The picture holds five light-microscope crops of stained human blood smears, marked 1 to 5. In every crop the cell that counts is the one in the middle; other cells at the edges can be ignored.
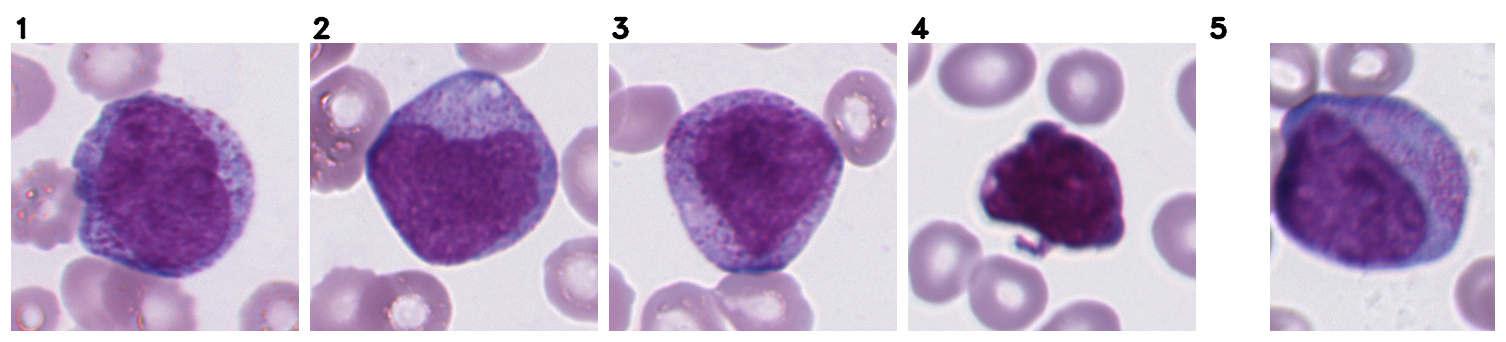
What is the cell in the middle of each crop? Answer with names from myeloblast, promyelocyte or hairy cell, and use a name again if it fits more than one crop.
1: promyelocyte
2: promyelocyte
3: promyelocyte
4: myeloblast
5: promyelocyte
